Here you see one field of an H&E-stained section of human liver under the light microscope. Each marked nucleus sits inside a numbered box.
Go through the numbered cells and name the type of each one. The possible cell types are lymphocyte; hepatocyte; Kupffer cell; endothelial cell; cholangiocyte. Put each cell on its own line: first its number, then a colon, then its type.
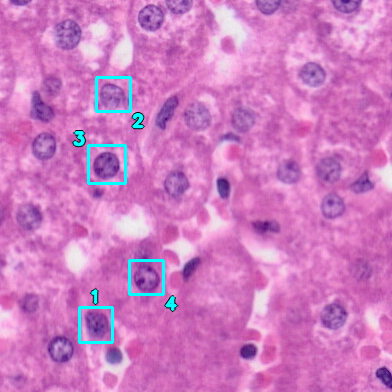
1: Kupffer cell
2: hepatocyte
3: hepatocyte
4: hepatocyte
